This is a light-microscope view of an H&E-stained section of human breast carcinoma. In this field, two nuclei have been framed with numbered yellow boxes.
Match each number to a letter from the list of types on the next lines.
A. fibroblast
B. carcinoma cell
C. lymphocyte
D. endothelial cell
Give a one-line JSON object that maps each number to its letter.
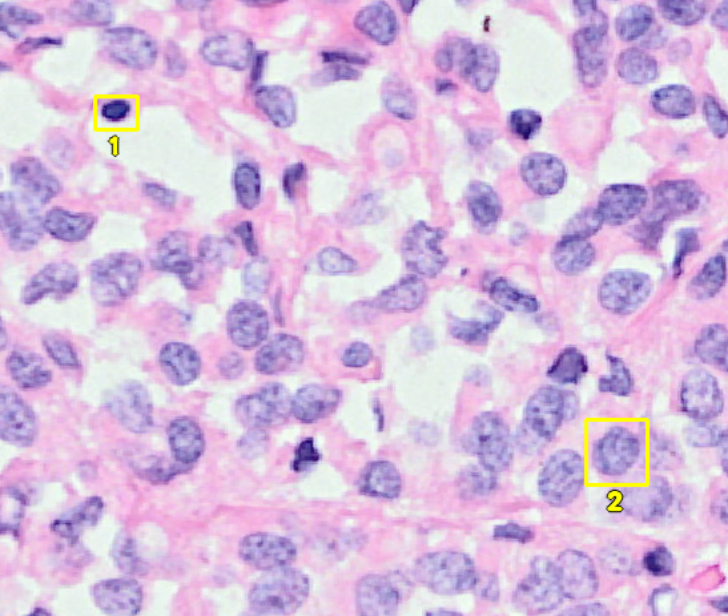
{"1": "C", "2": "B"}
